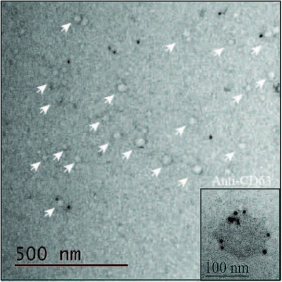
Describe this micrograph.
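The vesicles are small, round and pale, scattered singly across a grey background, and many are marked by arrows. Small, very dark dots lie over the field and on some vesicles. The inset enlarges one rounded vesicle that has several dark dots on its surface.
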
